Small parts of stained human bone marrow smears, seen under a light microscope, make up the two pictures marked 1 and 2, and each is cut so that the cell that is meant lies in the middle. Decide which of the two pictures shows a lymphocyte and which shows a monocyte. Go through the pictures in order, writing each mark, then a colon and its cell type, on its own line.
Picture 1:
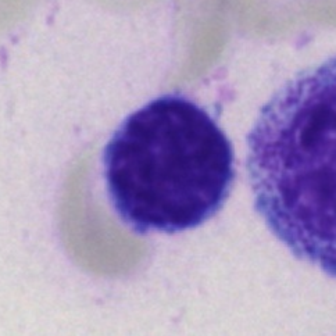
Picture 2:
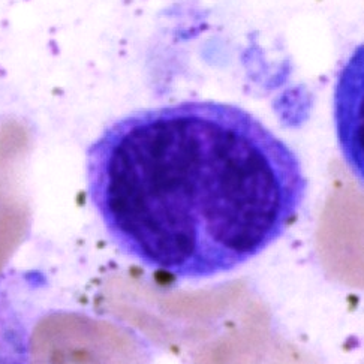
1: lymphocyte
2: monocyte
